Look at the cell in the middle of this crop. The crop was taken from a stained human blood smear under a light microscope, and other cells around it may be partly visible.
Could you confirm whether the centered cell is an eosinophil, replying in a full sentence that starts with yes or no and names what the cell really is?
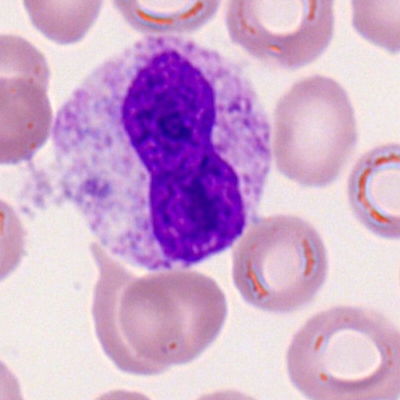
No, the central cell is identified not as an eosinophil but as a band neutrophil.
